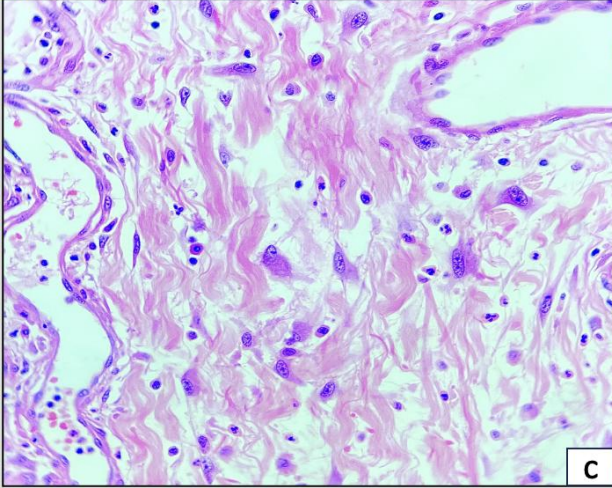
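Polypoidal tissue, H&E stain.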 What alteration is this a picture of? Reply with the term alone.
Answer: mildly edematous and paucicellular fibro-collagenous stroma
